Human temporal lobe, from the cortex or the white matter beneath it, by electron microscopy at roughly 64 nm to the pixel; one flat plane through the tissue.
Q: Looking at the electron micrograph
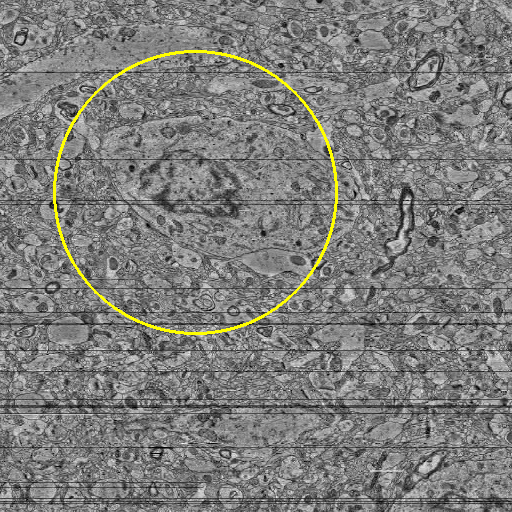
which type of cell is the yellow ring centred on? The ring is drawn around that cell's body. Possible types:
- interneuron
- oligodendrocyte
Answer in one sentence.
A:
The yellow ring is centred on an interneuron.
